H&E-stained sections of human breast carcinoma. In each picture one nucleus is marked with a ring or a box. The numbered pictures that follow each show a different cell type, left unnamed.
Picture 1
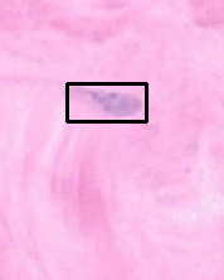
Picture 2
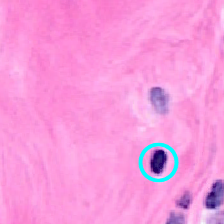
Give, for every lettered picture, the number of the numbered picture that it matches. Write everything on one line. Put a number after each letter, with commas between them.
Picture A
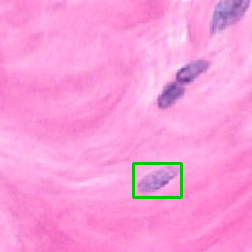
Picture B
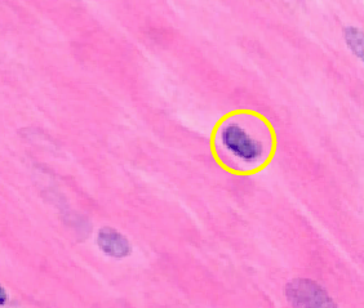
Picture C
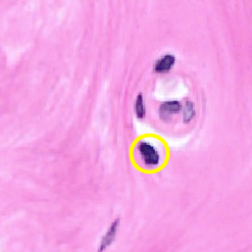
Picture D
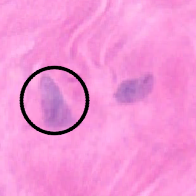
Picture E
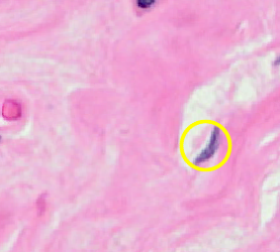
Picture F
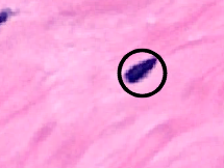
A 1, B 2, C 2, D 1, E 1, F 2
